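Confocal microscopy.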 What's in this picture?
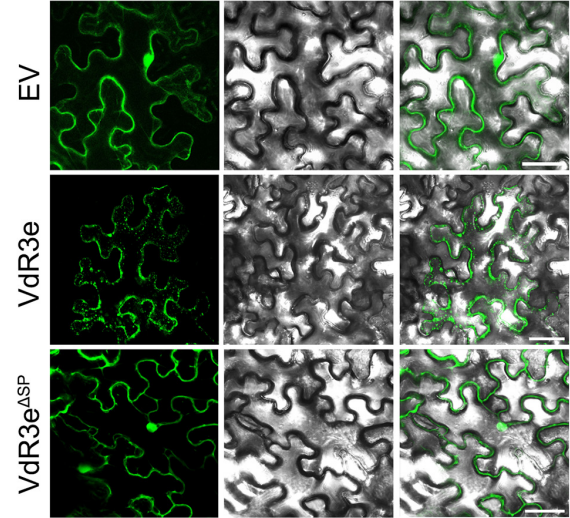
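A grid of views of the leaf surface shows a sheet of flat cells with deeply lobed, interlocking, jigsaw-puzzle outlines, fitted together without gaps. In the bright-field views the wavy cell borders appear as dark lines. In the fluorescence views green outlines the cell borders. In some views a bright round green body sits against the cell edge. In one row the green instead appears as many fine dots scattered along the cell borders, not as an even line. The merged views lay the green over the outlines of the same cells.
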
